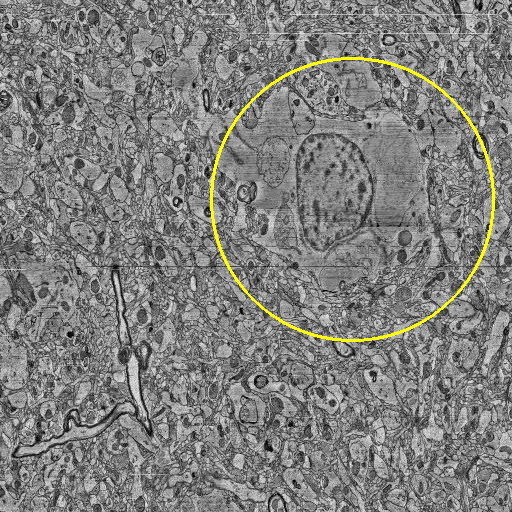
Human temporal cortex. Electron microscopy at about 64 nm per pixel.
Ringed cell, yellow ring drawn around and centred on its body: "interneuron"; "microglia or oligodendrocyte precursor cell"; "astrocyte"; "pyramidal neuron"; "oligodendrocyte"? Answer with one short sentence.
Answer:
This ringed cell is an astrocyte.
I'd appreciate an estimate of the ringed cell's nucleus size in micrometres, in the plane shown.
In this plane, approximately 8 by 5 micrometers, and clearly longer than it is wide.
